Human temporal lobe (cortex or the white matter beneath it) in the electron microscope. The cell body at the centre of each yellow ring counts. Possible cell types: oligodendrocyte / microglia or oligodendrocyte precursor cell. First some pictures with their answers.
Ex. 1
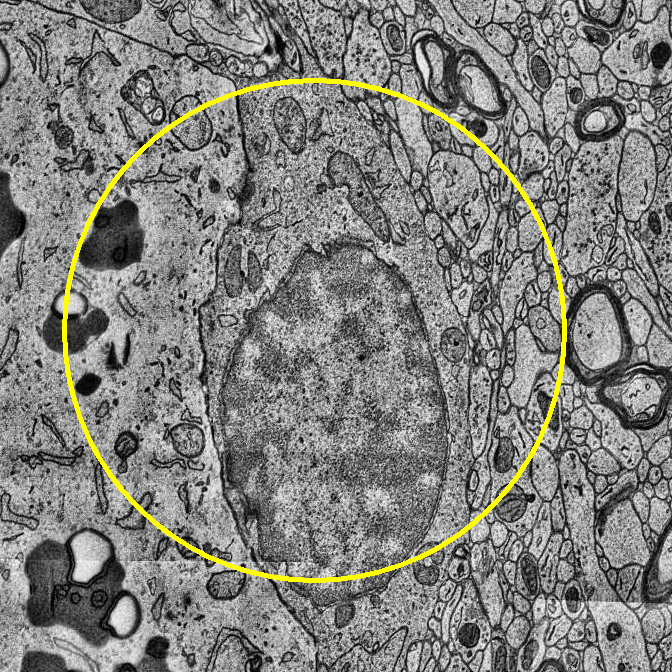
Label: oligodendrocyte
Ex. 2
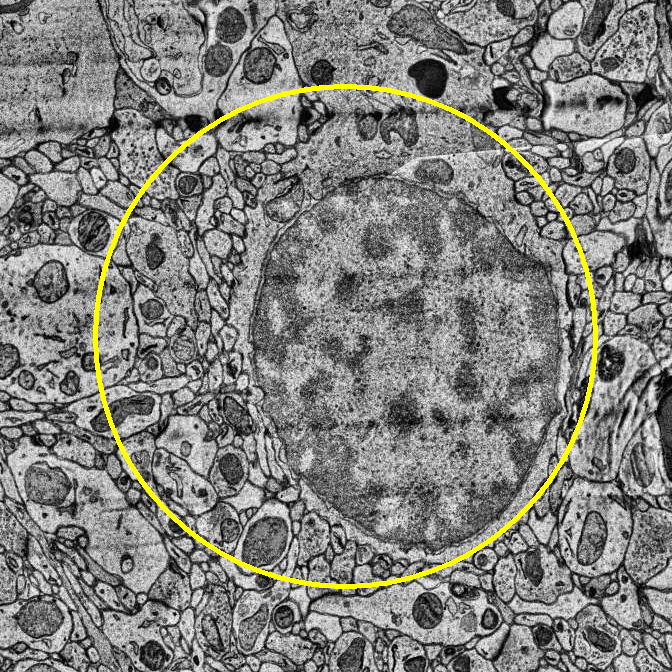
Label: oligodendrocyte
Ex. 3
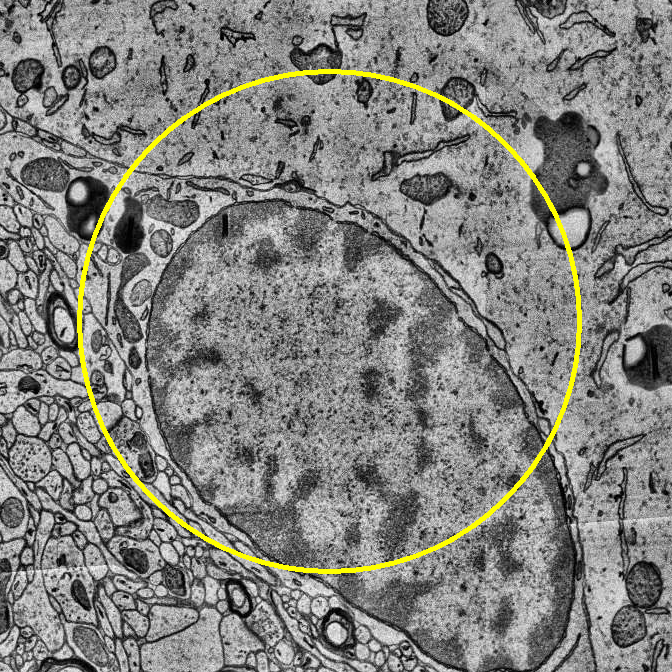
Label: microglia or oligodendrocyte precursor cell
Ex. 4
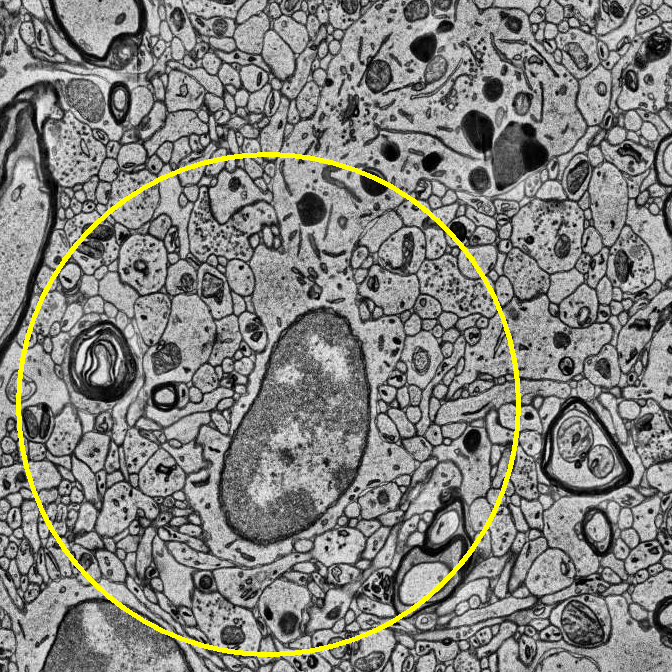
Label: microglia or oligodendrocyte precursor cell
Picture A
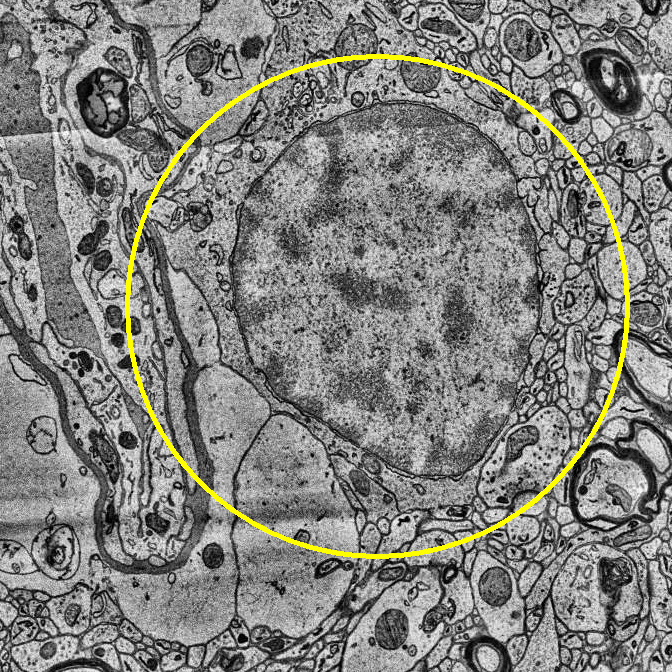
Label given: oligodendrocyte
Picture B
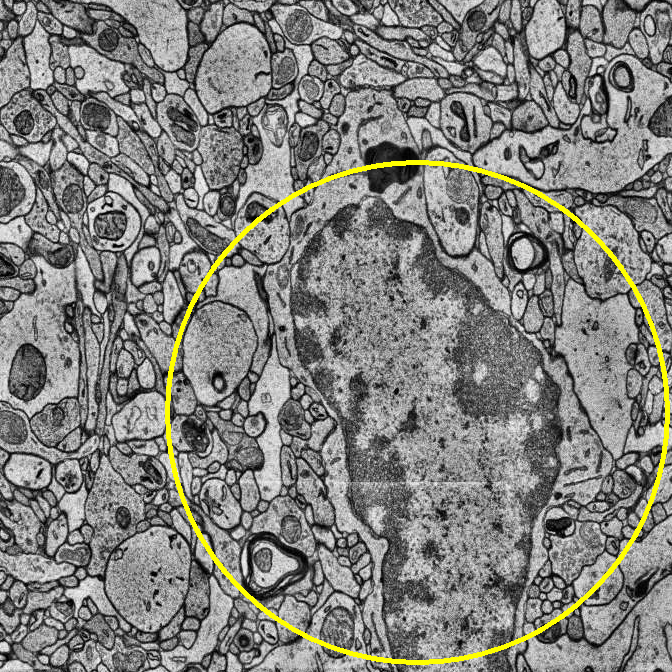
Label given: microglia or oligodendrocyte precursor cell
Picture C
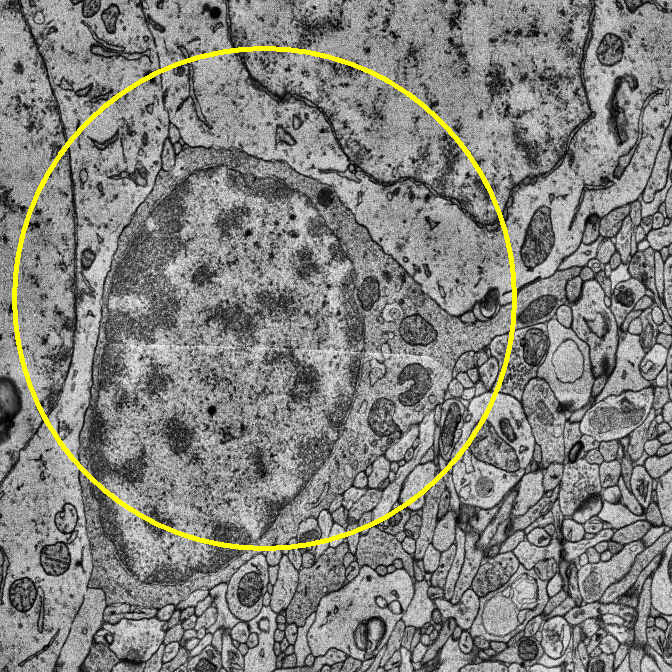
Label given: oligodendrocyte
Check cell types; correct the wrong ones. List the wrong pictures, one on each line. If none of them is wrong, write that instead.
None of the labels needs changing.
